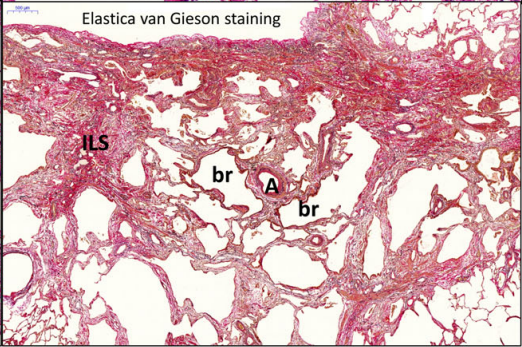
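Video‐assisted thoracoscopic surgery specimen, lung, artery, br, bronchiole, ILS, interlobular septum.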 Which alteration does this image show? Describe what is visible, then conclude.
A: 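A thick band of dense red-stained connective tissue runs along the top edge of the section. Alveolar walls below it are thickened. So: Subpleural fibrosis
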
